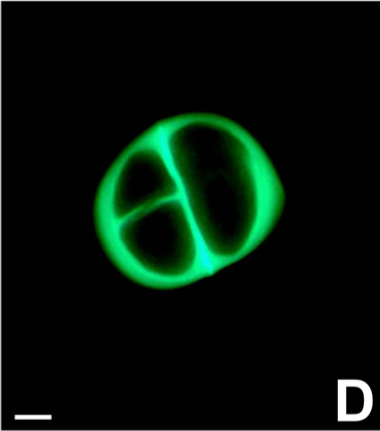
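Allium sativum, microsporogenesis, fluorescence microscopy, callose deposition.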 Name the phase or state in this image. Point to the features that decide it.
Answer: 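Only one half is split again by a wall at right angles, the other half appears undivided in this view.
Hence: Decussate type.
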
